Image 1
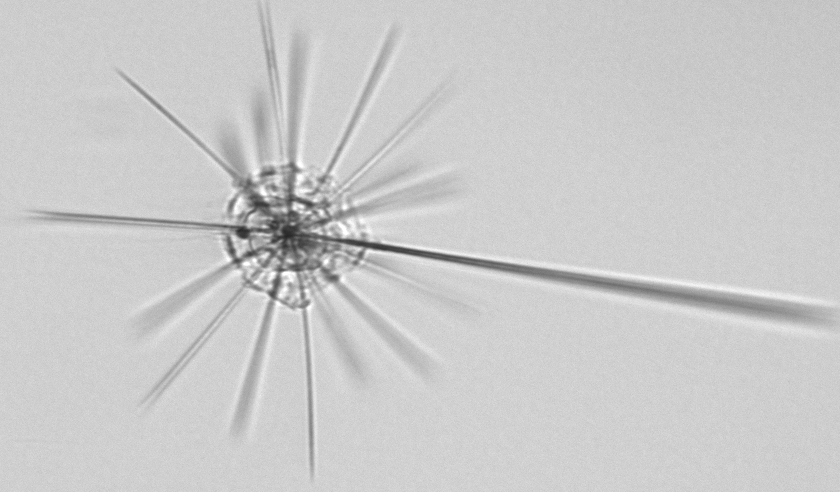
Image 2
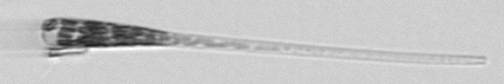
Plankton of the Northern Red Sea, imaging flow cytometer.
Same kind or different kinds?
Different: the first is a radiolarian, the second Licmophora.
